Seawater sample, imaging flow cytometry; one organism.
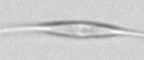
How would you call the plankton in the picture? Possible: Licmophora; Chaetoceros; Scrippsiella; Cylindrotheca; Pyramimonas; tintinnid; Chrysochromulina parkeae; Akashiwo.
I would call it Cylindrotheca.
